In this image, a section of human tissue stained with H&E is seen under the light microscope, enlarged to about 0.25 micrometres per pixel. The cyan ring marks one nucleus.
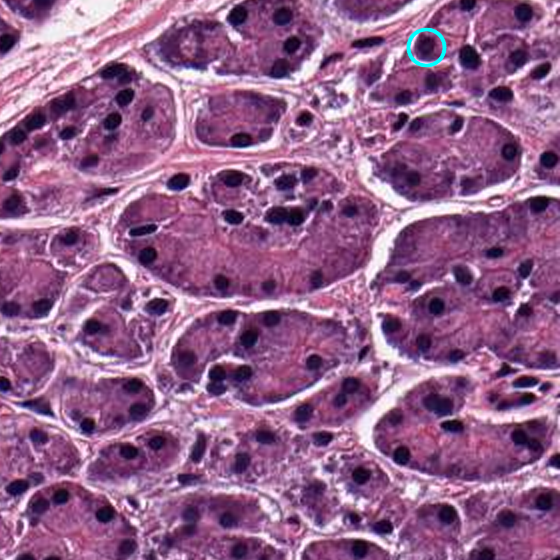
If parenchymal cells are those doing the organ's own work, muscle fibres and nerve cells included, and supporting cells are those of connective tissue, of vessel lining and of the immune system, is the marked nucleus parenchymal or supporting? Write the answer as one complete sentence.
To a parenchymal cell, namely a pancreatic acinar cell, belongs the marked nucleus.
